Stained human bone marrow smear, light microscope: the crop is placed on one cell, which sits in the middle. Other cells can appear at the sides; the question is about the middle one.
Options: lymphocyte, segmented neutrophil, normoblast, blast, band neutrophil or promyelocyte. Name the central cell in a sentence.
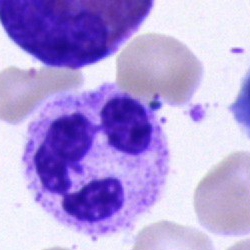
Positioned in the middle of the crop is a segmented neutrophil.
